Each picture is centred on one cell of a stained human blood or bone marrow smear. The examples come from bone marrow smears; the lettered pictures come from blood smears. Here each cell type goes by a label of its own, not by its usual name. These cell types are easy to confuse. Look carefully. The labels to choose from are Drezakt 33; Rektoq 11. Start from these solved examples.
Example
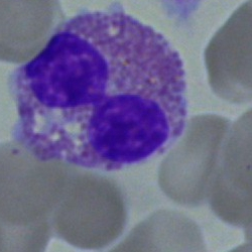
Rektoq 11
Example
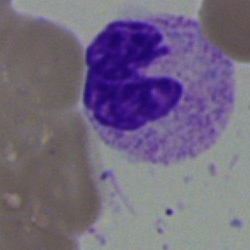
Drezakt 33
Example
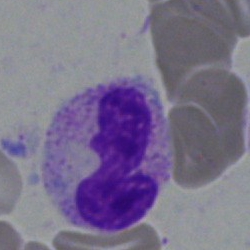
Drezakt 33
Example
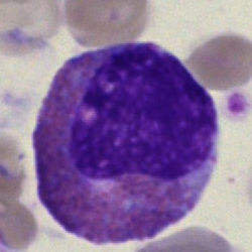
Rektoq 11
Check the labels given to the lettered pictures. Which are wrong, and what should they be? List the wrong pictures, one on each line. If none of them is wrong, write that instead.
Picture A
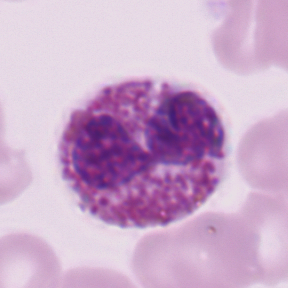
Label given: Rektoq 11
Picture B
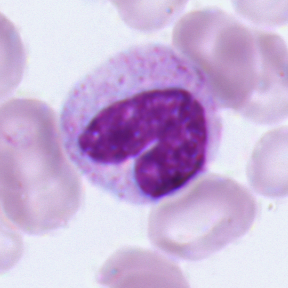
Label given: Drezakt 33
None of the labels needs changing.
